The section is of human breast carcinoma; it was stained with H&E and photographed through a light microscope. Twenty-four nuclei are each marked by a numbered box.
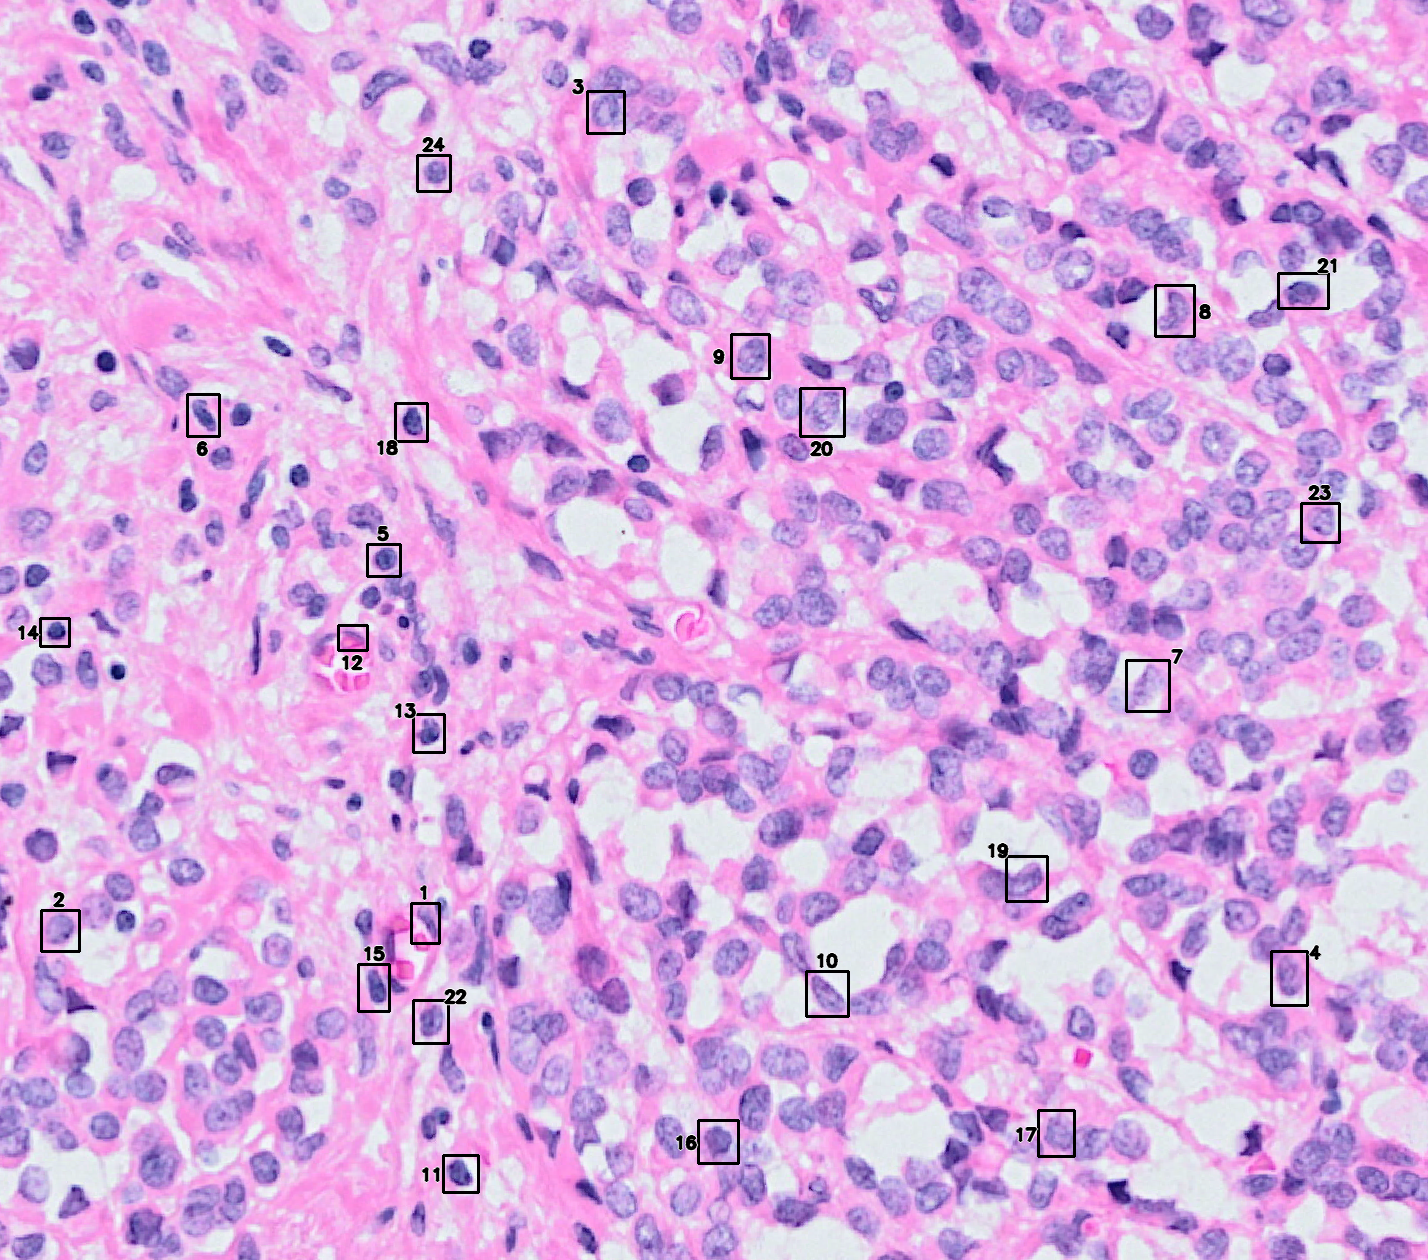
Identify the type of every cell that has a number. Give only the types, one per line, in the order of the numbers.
endothelial cell
carcinoma cell
carcinoma cell
carcinoma cell
lymphocyte
lymphocyte
carcinoma cell
carcinoma cell
carcinoma cell
carcinoma cell
lymphocyte
endothelial cell
lymphocyte
lymphocyte
lymphocyte
carcinoma cell
carcinoma cell
lymphocyte
carcinoma cell
carcinoma cell
carcinoma cell
lymphocyte
carcinoma cell
lymphocyte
